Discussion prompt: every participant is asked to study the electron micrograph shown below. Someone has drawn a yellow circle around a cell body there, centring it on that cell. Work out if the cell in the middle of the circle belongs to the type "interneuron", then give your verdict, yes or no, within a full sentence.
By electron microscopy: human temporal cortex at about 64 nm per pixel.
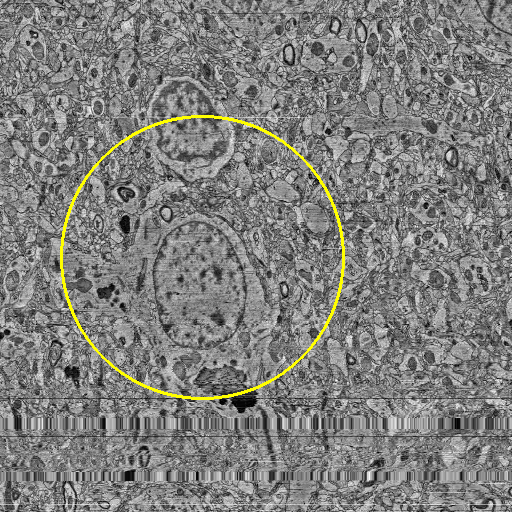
No, my verdict is that the cell in the circle's centre is of a different type.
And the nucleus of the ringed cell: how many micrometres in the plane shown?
In this plane the nucleus is about 8 micrometres by 6.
